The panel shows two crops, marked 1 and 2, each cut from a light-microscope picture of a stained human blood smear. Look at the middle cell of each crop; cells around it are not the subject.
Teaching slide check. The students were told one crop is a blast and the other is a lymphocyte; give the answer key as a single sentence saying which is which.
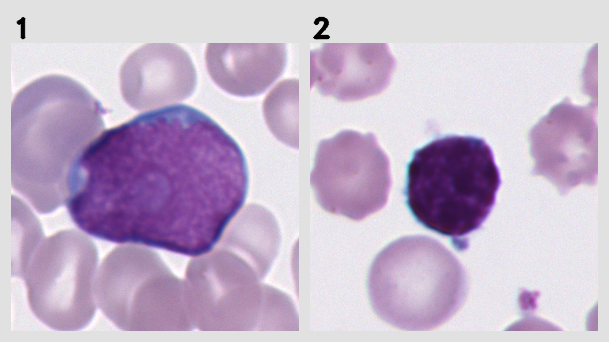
Crop 1 has been identified as a blast, and crop 2 has been identified as a lymphocyte.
